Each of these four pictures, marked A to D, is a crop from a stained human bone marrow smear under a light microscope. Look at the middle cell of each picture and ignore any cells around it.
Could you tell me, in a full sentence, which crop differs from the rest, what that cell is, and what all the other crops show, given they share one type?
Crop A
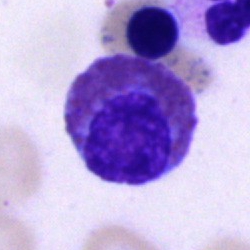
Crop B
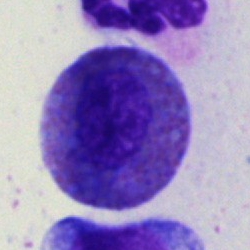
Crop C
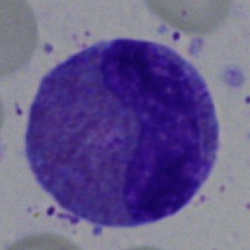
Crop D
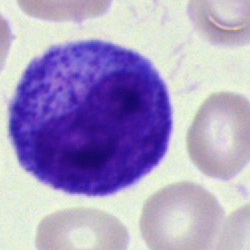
Crop D shows a promyelocyte; by contrast, all the other crops show eosinophils.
